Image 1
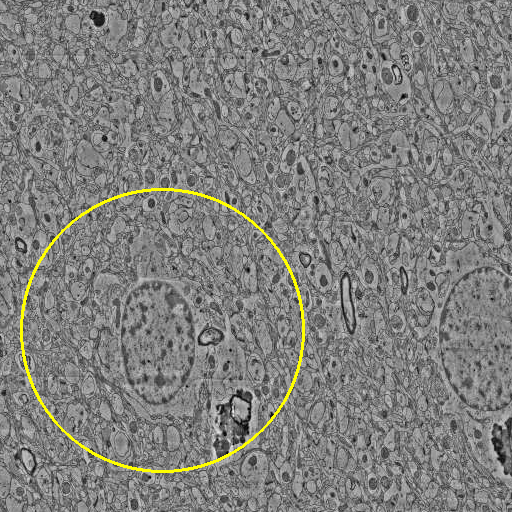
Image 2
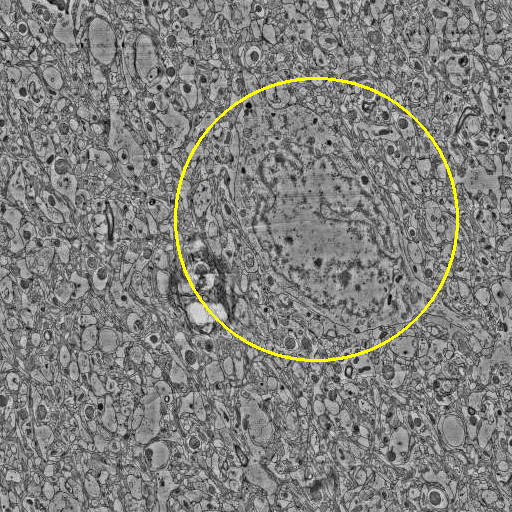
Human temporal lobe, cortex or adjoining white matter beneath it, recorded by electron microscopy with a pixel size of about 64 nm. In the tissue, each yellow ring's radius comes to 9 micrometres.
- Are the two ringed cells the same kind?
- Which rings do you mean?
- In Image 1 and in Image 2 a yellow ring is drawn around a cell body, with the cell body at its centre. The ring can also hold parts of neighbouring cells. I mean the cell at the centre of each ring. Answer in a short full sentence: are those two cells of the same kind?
No, the cells are of two kinds.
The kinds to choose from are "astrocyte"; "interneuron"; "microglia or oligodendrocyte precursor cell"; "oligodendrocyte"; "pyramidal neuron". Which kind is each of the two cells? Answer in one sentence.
Of the two, the first cell is an astrocyte and the second cell is an interneuron.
